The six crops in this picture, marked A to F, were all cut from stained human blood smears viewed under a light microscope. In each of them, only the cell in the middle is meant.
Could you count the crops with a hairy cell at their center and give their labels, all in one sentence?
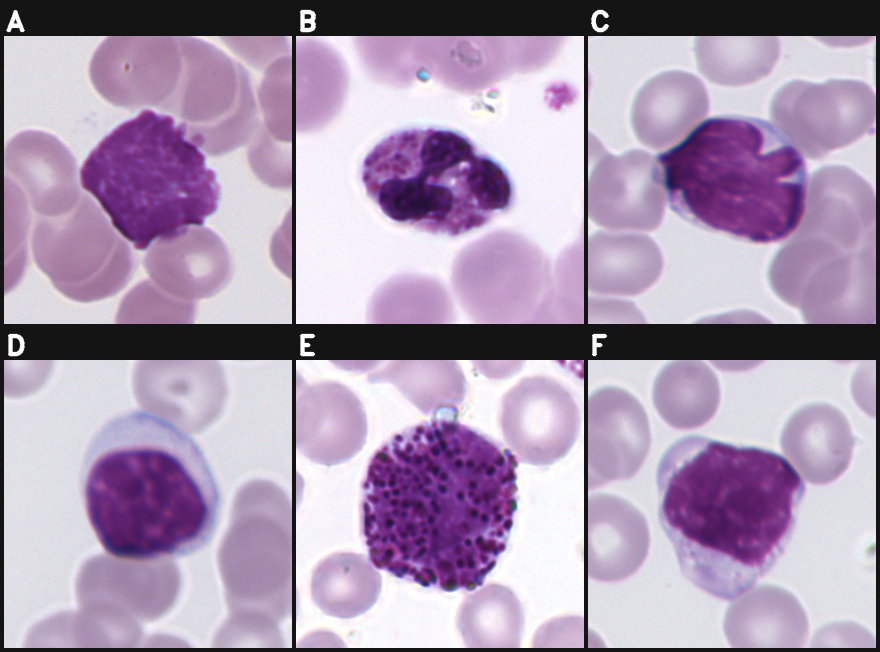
None of the crops, from first to last, shows hairy cells, so the count is zero.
